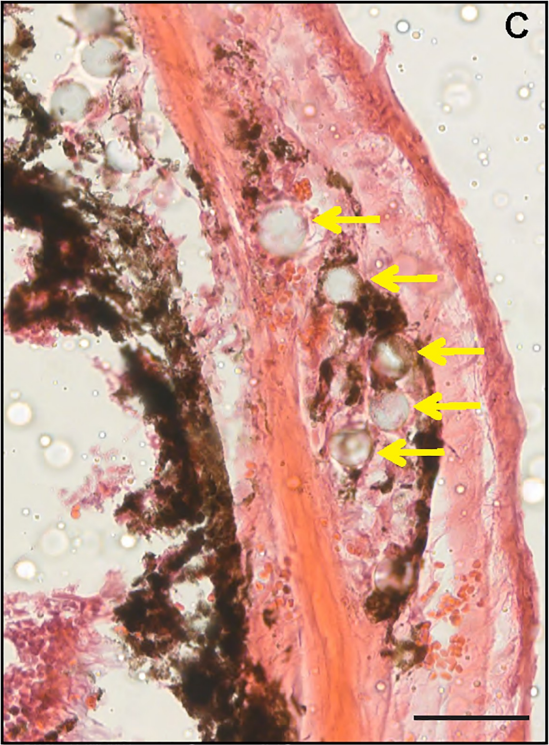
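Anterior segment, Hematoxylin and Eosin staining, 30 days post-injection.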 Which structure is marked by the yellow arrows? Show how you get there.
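The spheres are unstained and refractile, unlike the pink tissue around them. The spheres lie packed within a channel among dark brown pigment clumps. The answer: Microbeads.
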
